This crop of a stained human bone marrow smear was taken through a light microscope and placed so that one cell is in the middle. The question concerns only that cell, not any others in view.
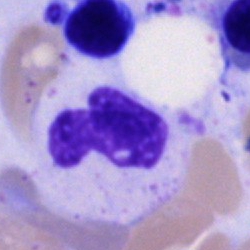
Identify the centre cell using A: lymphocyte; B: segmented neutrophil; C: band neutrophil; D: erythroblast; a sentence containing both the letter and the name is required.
Since the middle cell is a segmented neutrophil, option B is the right one.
